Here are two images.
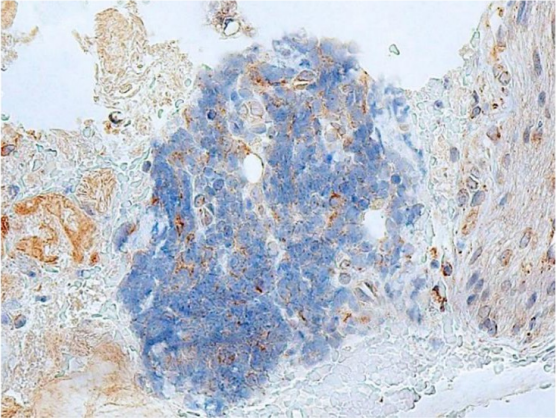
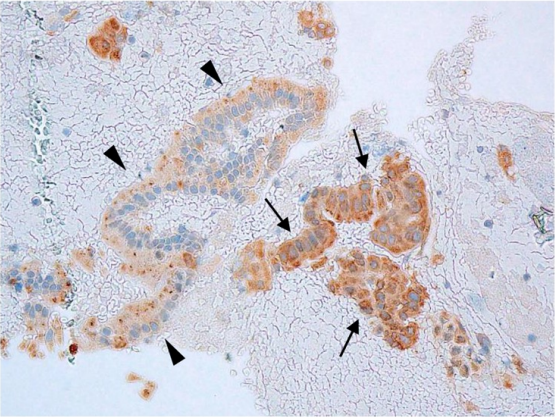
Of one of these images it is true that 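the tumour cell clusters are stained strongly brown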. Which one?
the second image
